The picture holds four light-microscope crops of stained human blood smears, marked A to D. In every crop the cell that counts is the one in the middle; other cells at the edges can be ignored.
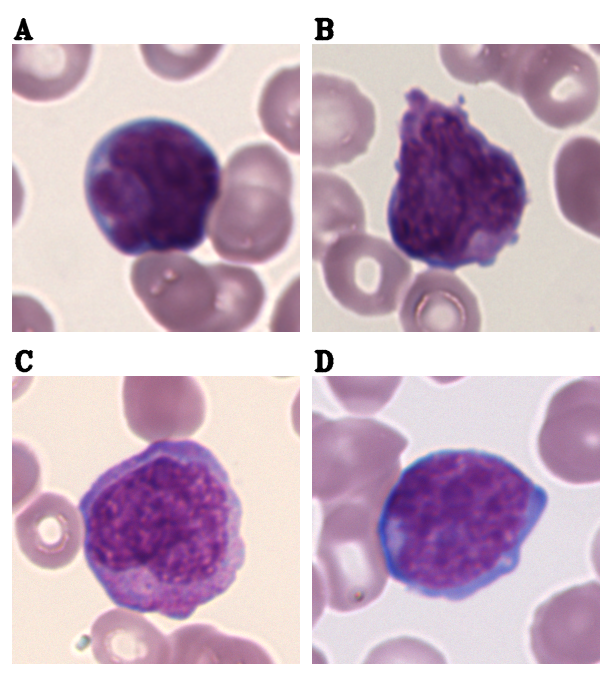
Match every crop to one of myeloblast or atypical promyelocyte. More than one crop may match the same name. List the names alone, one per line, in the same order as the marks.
myeloblast
atypical promyelocyte
atypical promyelocyte
myeloblast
